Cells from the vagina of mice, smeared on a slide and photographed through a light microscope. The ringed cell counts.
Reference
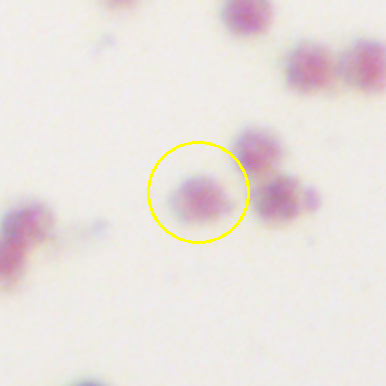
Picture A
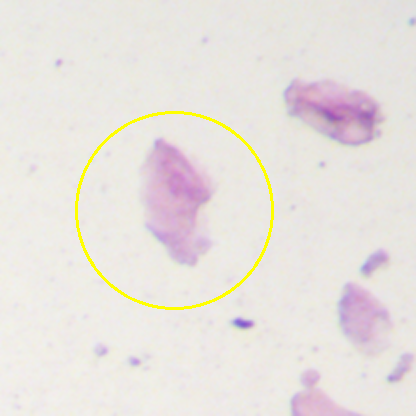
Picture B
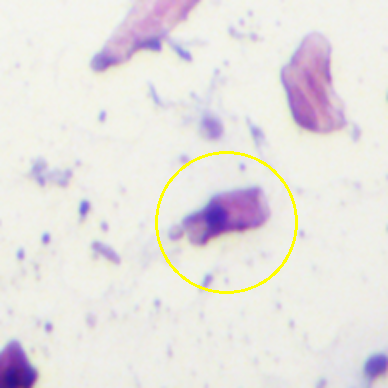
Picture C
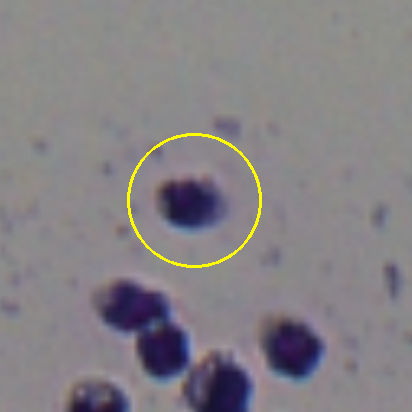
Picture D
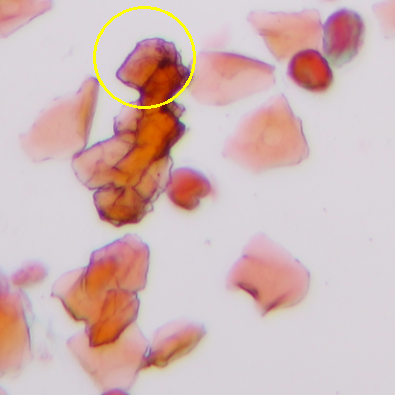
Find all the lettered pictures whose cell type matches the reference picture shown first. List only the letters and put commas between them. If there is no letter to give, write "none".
C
